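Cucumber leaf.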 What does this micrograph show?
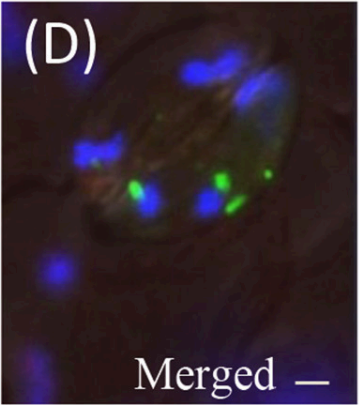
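This is a stoma of the leaf epidermis, an oval pair of guard cells with a slit between them, set among neighbouring epidermal cells. A few bright, small green dots and short green rods lie within the guard cells. Rounded blue bodies lie in and around the guard cell pair. Little red fluorescence is to be seen.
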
